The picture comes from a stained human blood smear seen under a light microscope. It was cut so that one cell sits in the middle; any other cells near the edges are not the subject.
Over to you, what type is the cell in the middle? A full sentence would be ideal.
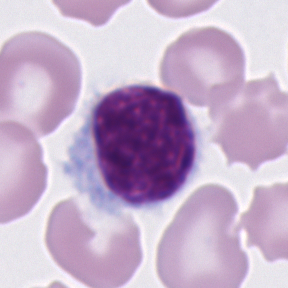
The cell at the middle of the frame should be recorded as a hairy cell.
